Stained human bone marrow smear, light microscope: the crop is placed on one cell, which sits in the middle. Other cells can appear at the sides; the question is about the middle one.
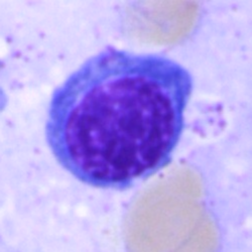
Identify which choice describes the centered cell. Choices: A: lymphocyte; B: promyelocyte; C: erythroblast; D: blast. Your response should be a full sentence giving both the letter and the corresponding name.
The central cell in this crop is an erythroblast, corresponding to option C, the correct option.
